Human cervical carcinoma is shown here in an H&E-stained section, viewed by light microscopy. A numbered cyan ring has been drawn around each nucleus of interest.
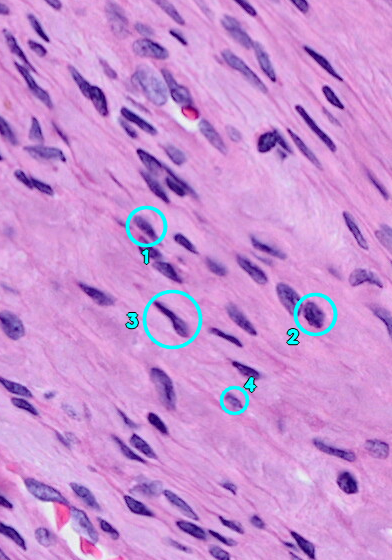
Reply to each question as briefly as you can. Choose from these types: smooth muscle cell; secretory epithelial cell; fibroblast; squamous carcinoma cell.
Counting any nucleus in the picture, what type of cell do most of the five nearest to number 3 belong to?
fibroblast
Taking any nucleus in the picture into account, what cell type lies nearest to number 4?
fibroblast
